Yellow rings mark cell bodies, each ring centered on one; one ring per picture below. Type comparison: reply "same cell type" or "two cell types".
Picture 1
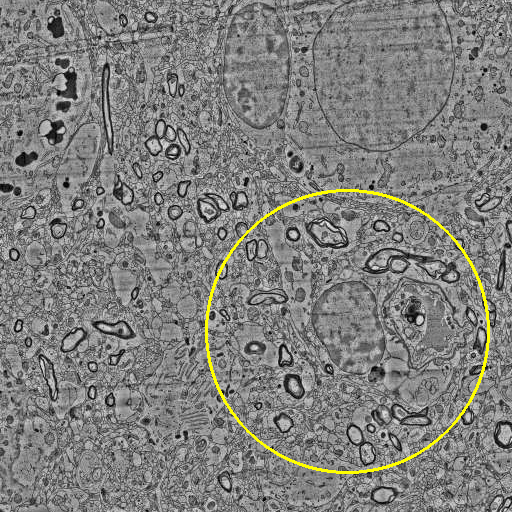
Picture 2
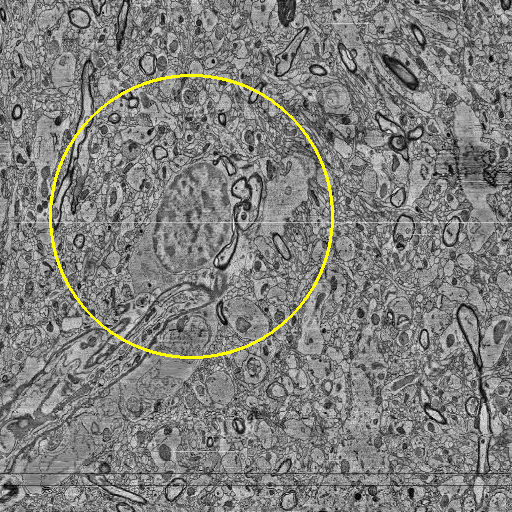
two cell types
